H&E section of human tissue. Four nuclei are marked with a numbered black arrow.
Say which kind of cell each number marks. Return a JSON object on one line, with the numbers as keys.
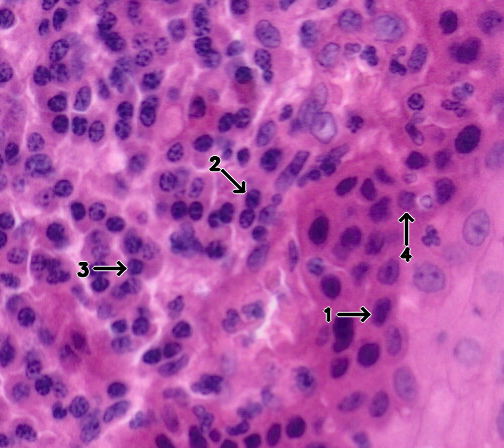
{"1": "squamous epithelial cell", "2": "plasma cell", "3": "plasma cell", "4": "squamous epithelial cell"}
